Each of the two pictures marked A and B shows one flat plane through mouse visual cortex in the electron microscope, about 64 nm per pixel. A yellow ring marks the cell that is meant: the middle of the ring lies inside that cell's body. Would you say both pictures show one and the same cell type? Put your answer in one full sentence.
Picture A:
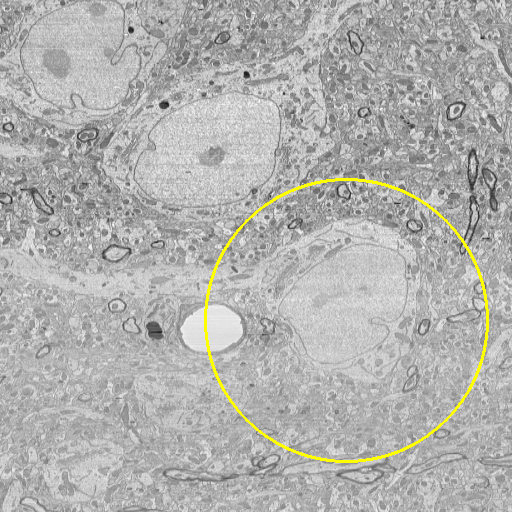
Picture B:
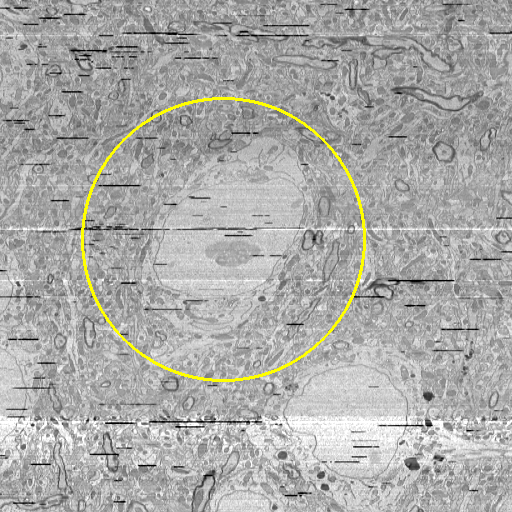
Yes, the two pictures both show excitatory neurons.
